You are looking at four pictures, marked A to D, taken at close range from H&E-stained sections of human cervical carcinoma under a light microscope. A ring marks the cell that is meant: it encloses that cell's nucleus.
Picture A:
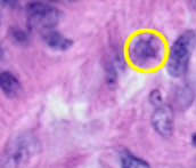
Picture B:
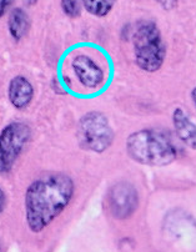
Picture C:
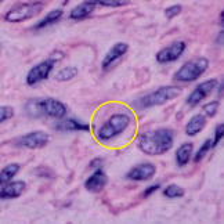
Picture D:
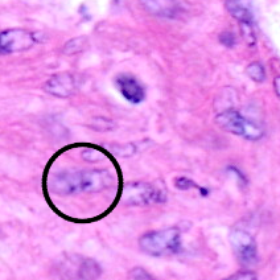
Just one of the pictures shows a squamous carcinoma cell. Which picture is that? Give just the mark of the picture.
B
